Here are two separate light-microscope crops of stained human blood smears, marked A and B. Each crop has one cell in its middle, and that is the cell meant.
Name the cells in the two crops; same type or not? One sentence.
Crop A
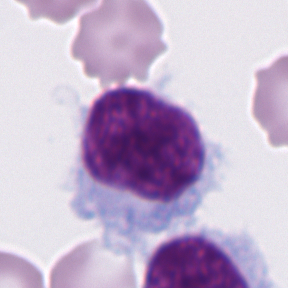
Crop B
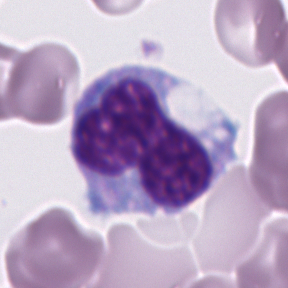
No, crop A contains a hairy cell, while crop B contains a monocyte.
